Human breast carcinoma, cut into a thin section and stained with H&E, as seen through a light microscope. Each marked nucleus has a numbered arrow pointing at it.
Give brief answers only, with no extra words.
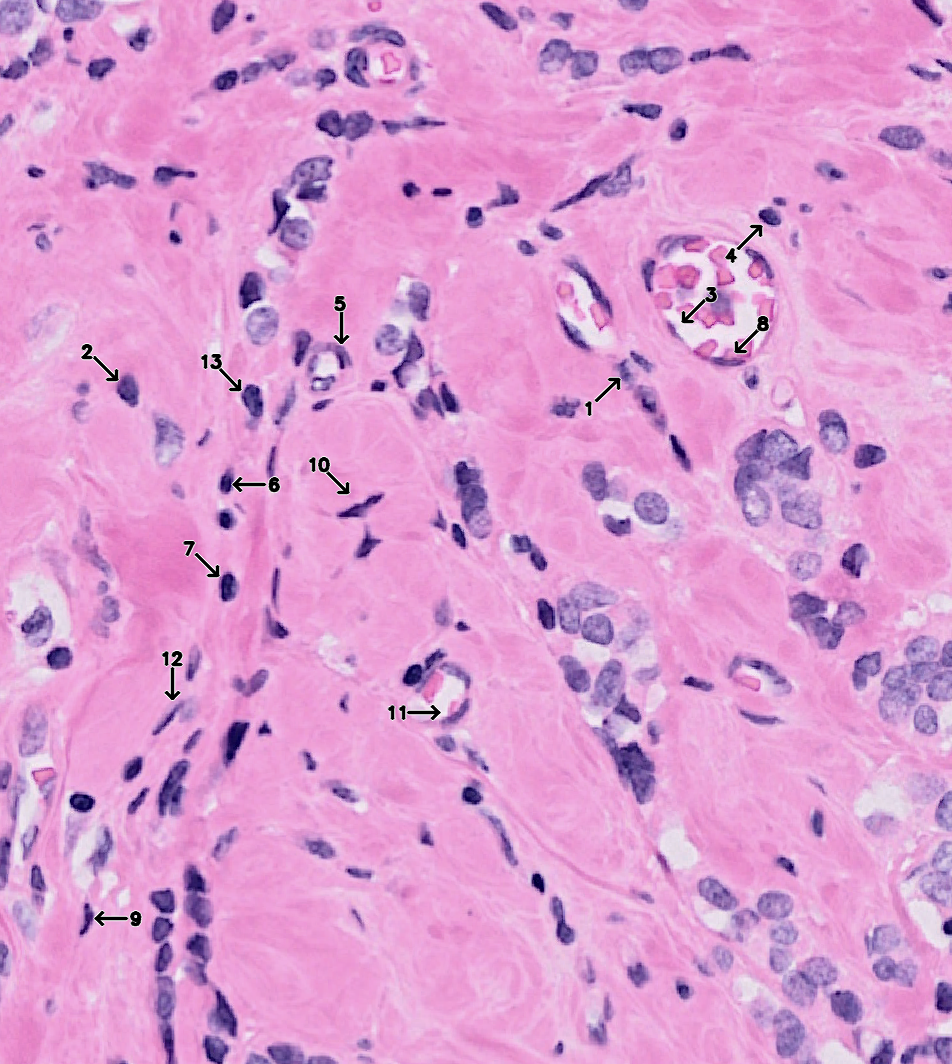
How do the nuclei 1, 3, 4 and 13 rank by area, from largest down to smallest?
13, 4, 1, 3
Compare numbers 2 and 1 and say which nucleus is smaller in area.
1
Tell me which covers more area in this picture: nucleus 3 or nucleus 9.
9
